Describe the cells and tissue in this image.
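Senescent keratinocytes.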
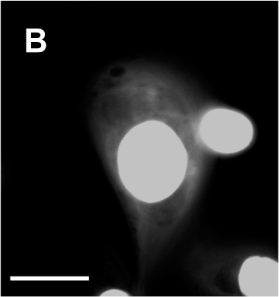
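A large, flattened cell with a tapering, roughly triangular outline holds a big, bright, evenly stained oval nucleus. A faint grey haze outlines its broad cytoplasm. A smaller, bright oval nucleus of a neighbouring cell lies beside it to the upper right. Further bright nuclei sit at the lower edge of the field. The large nucleus is smooth and homogeneous, without visible texture.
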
